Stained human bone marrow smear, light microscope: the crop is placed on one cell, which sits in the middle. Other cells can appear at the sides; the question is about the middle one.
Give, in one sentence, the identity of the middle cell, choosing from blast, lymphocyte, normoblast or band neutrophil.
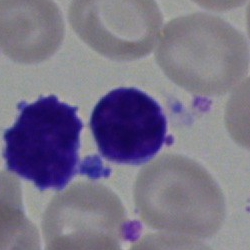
The identification for the central cell is a lymphocyte.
